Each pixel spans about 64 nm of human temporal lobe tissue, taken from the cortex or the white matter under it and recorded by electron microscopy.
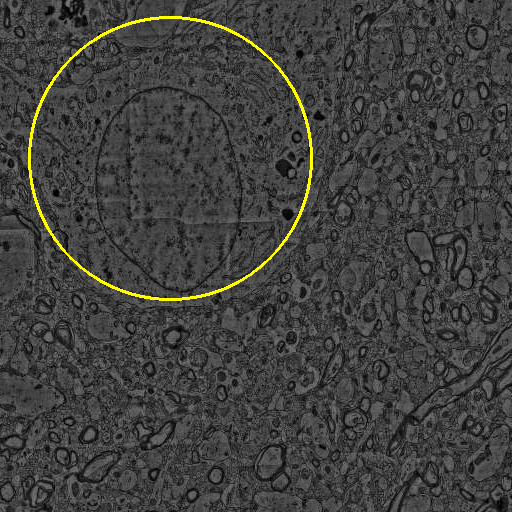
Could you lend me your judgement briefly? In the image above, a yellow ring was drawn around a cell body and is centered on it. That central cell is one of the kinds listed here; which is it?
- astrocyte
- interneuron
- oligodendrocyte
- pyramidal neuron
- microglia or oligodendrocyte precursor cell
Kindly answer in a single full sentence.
Going by the list, a pyramidal neuron is the kind at the ring's center in the picture.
